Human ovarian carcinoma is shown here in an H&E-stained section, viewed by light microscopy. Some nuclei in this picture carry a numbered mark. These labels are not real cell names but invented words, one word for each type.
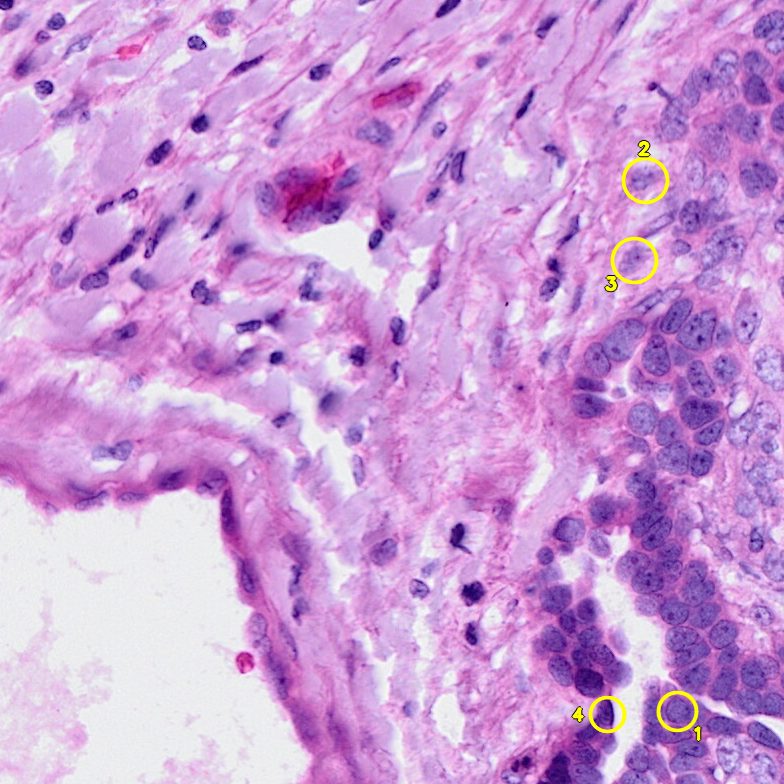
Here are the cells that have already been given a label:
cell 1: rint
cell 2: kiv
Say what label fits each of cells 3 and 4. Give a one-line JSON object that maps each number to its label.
{"3": "kiv", "4": "rint"}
